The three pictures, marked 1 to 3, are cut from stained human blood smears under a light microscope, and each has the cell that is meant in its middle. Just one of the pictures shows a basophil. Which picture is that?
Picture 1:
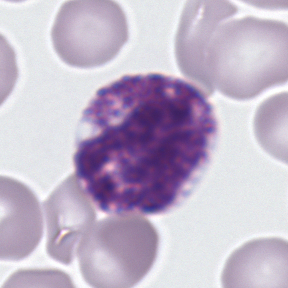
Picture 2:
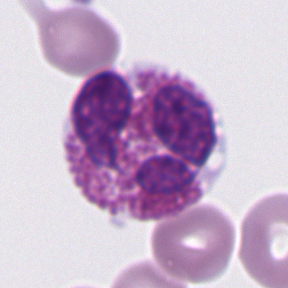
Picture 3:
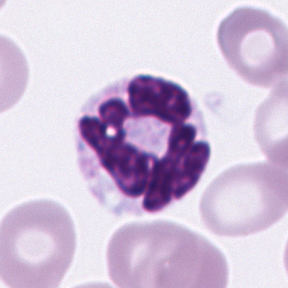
1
